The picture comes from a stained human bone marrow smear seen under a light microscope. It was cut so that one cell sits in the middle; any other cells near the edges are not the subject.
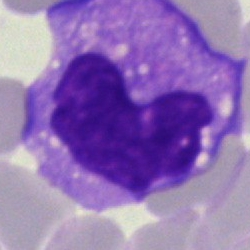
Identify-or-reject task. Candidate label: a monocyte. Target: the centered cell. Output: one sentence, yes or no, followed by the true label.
Yes, the crop's central cell is a monocyte.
